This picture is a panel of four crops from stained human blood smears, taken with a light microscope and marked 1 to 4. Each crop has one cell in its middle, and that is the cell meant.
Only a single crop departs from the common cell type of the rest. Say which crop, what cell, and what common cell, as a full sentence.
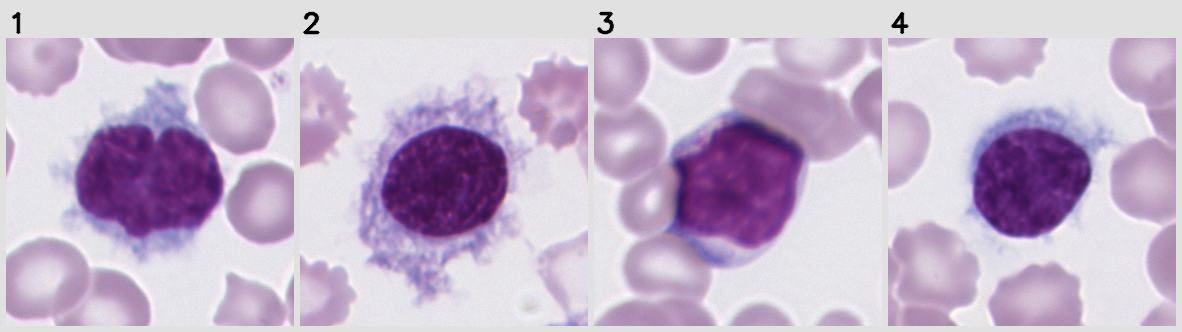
Crop 3 is singled out as a large granular lymphocyte, and all of the other crops show hairy cells.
